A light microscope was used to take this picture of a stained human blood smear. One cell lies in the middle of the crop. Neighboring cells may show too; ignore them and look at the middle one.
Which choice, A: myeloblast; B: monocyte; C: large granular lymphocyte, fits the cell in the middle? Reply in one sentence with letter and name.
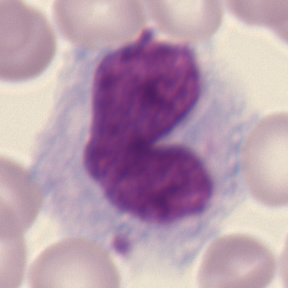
The correct response is option B, naming the cell in the middle as a monocyte.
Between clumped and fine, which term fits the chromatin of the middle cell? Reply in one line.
The chromatin is fine; coarse clumps are not a feature here.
